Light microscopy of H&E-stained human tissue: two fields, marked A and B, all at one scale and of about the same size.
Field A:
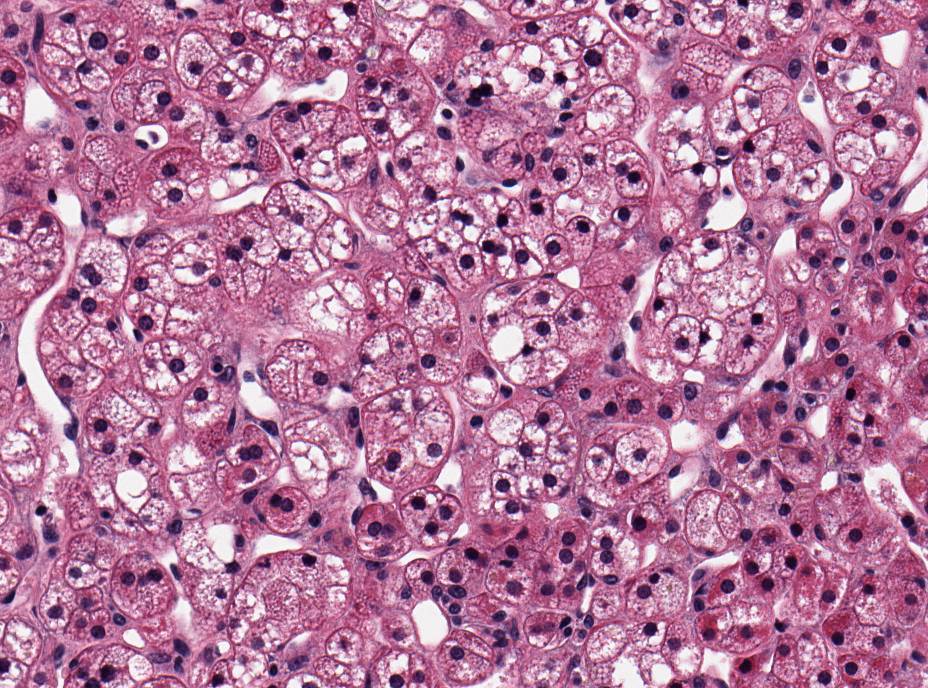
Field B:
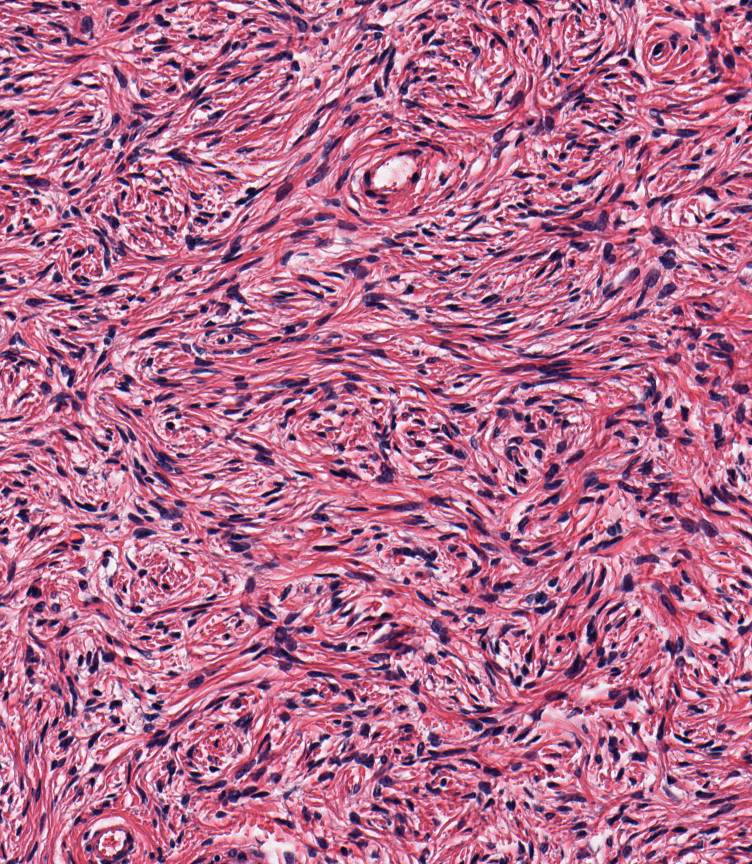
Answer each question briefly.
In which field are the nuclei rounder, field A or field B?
A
